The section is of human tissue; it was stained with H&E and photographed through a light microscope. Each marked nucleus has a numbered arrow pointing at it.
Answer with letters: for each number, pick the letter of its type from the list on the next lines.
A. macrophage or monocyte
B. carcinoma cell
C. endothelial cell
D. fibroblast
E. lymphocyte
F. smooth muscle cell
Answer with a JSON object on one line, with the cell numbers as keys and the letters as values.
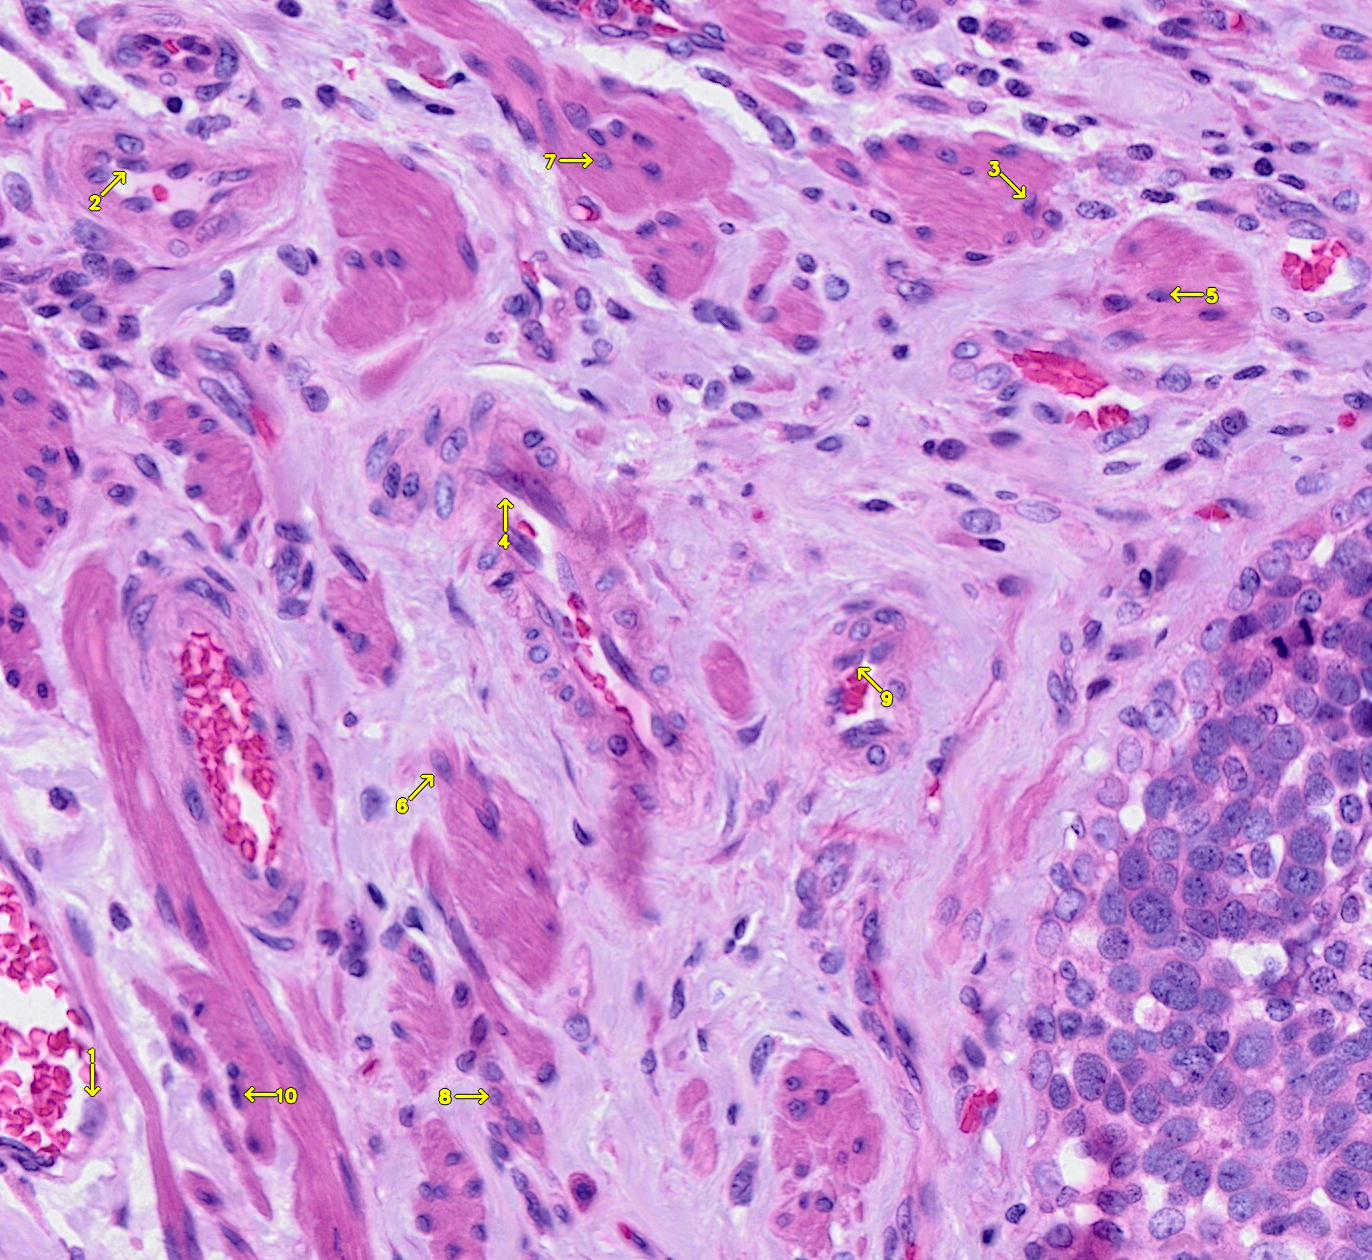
{"1": "C", "2": "C", "3": "F", "4": "C", "5": "F", "6": "F", "7": "F", "8": "F", "9": "C", "10": "F"}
